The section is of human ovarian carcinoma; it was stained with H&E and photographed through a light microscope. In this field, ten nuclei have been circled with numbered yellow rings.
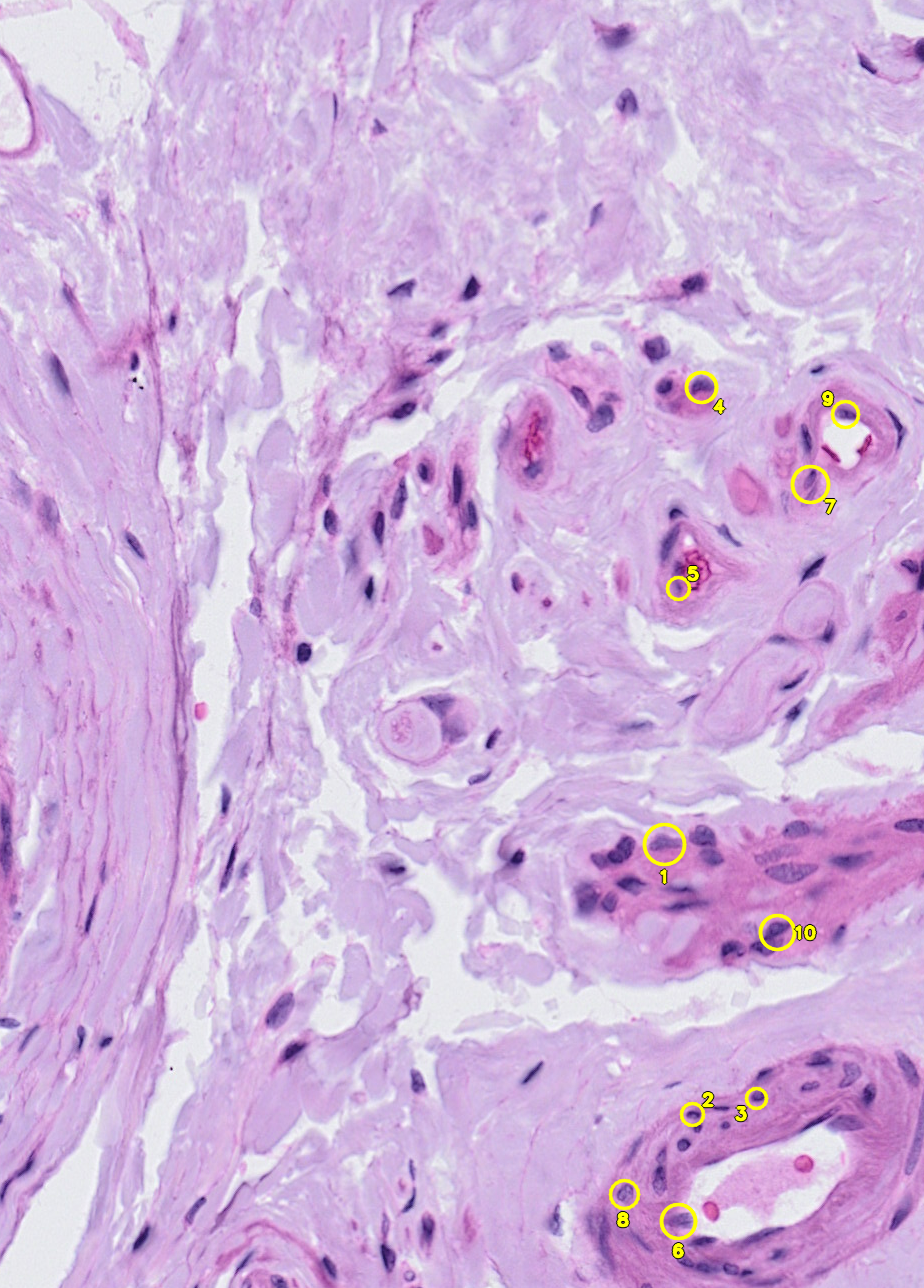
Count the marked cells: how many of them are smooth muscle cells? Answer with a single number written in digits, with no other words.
6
